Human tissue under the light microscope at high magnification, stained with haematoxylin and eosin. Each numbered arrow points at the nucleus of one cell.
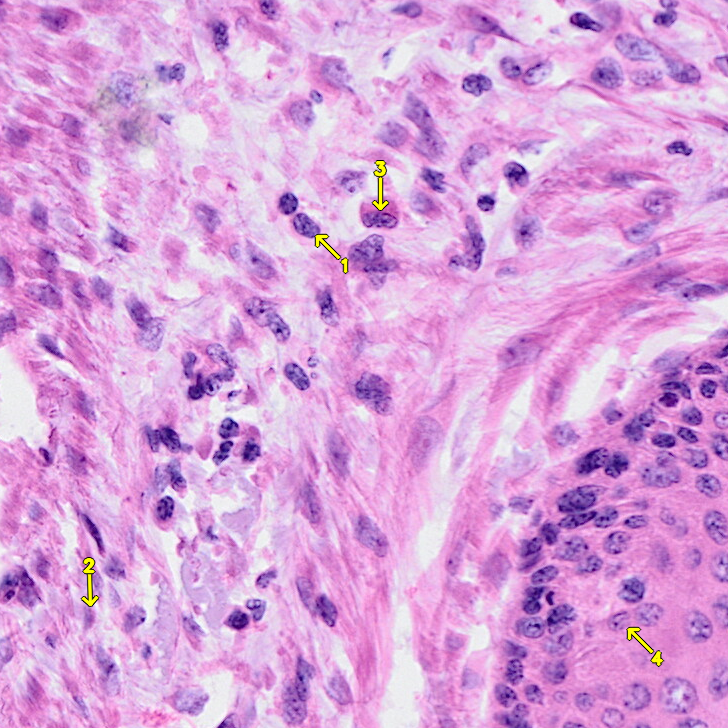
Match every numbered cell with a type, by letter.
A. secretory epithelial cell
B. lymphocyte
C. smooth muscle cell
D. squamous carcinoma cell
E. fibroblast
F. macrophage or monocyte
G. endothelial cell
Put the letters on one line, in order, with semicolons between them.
B; E; F; D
